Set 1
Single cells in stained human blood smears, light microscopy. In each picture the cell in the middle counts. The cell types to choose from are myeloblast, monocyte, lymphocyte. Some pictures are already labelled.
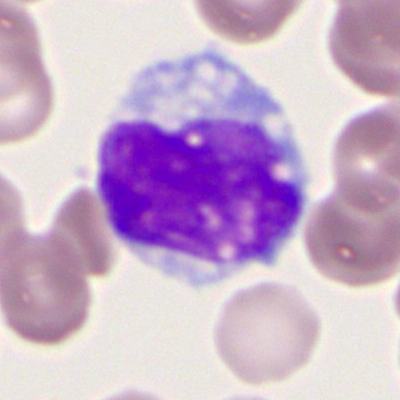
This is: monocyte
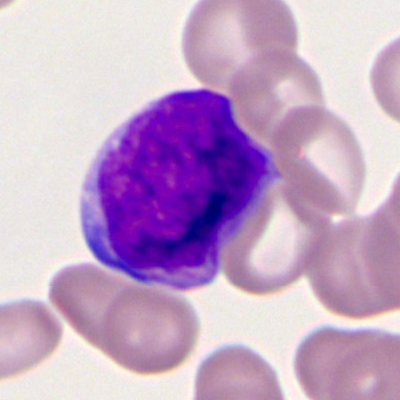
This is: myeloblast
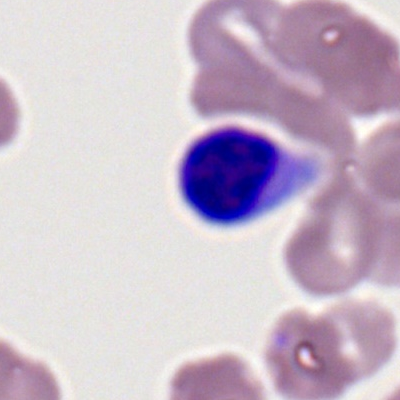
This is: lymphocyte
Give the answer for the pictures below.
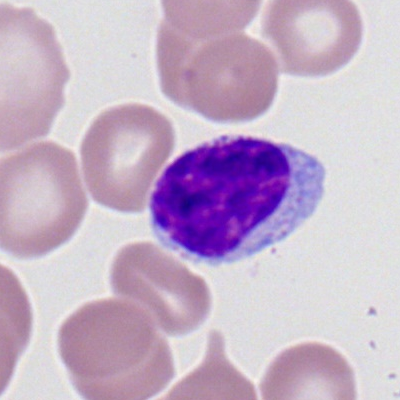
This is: lymphocyte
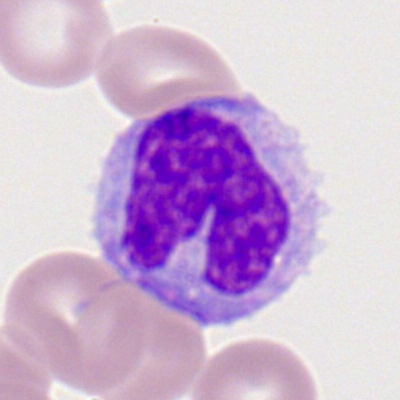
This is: monocyte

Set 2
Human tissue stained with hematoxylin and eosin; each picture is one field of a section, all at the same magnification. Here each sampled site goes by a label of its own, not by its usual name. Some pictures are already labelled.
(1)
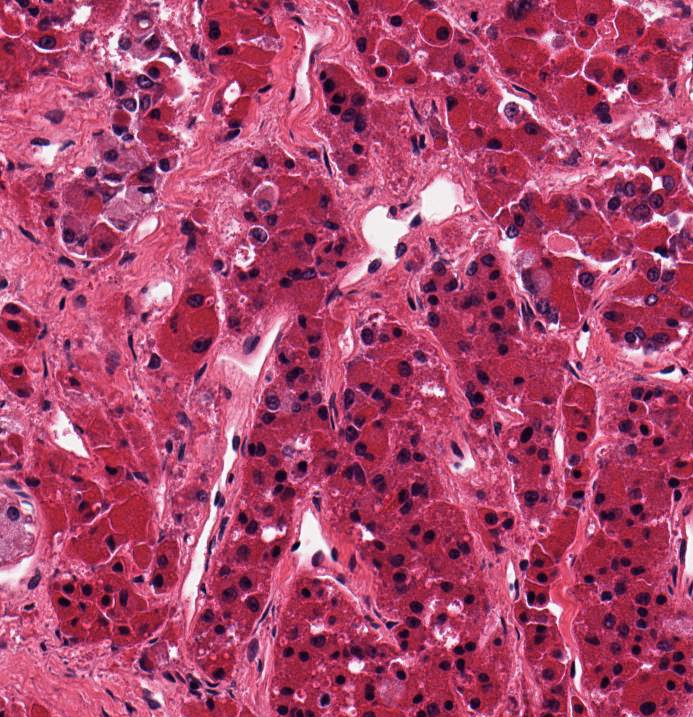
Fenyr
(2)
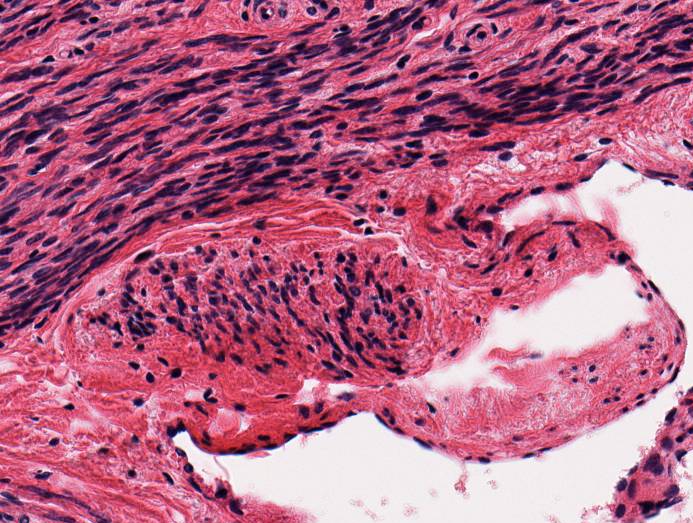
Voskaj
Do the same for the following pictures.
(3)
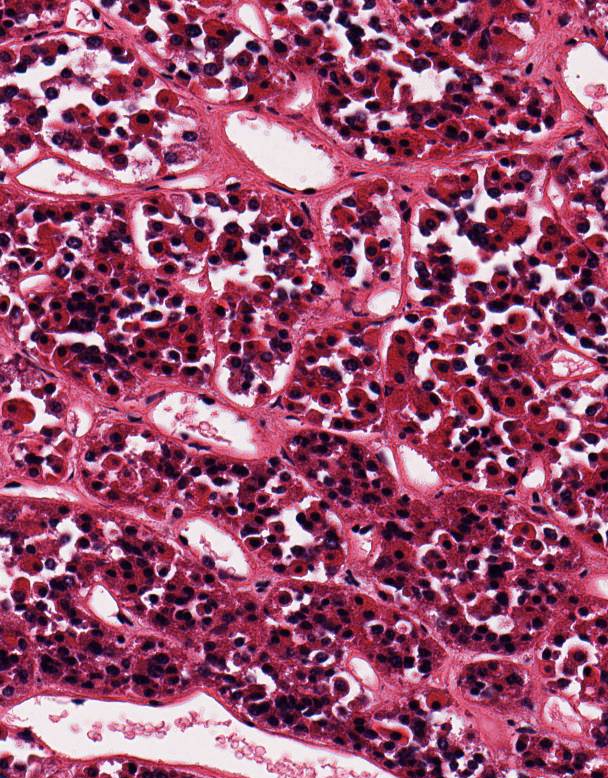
Fenyr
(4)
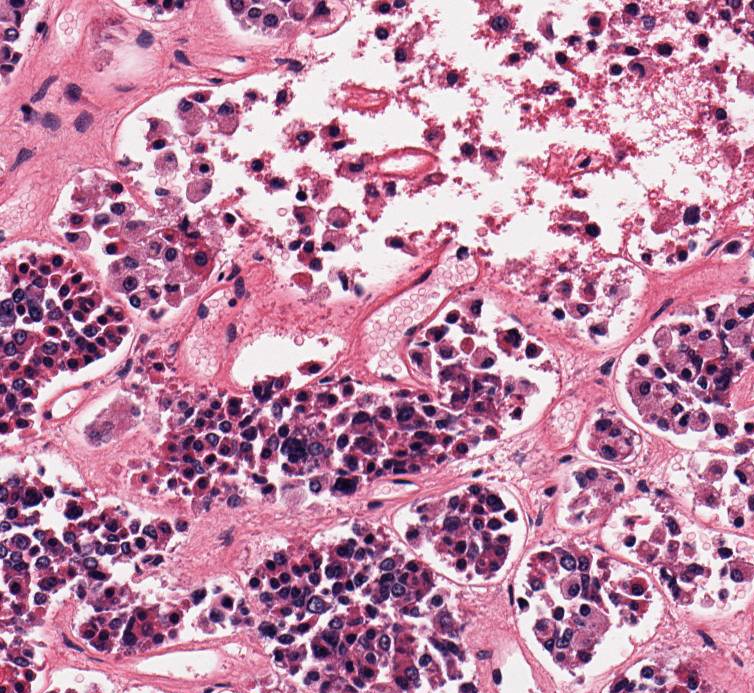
Fenyr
